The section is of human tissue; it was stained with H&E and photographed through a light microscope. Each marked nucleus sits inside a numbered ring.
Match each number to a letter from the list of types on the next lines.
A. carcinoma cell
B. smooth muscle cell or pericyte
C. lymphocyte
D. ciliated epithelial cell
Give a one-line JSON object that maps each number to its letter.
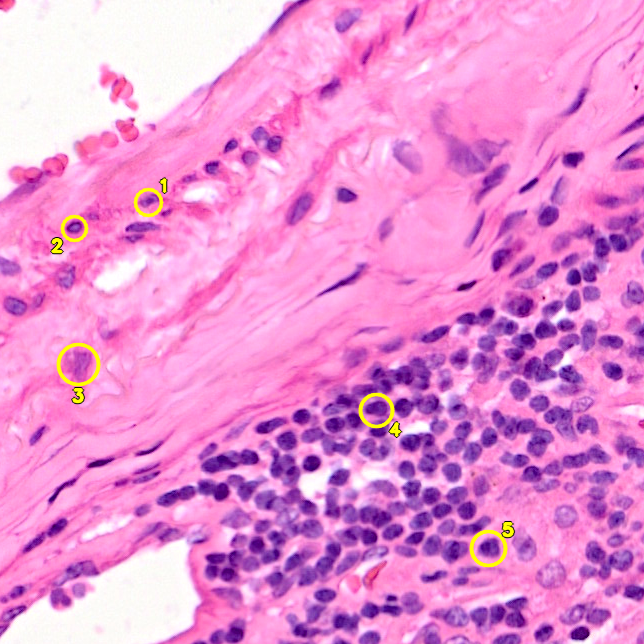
{"1": "B", "2": "B", "3": "B", "4": "C", "5": "C"}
